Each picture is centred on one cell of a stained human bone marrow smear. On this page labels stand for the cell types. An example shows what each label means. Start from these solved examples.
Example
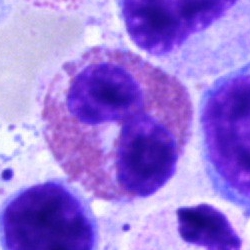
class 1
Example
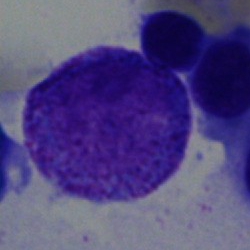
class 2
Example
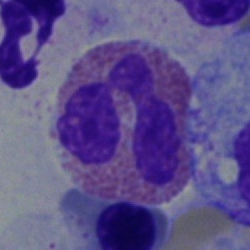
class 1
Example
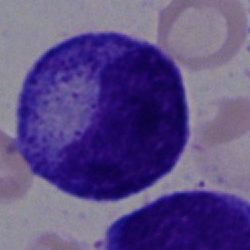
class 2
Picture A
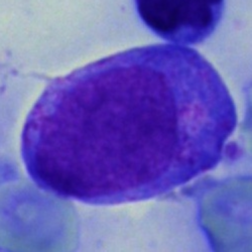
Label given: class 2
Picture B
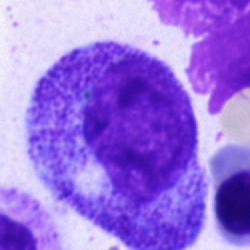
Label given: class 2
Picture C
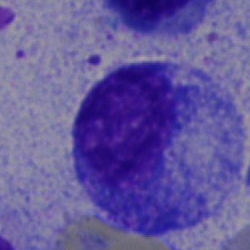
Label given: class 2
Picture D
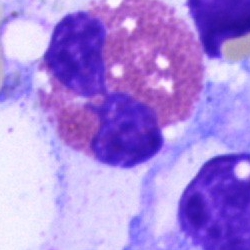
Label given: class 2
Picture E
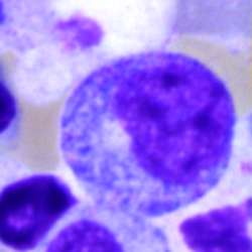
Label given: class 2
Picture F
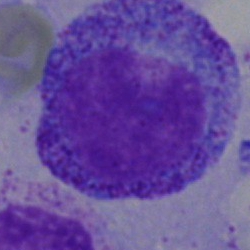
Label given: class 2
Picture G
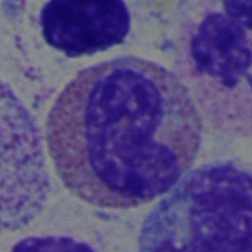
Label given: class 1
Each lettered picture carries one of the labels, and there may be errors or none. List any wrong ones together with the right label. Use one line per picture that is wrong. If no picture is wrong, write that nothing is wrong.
Wrong: D (class 2); correct: class 1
